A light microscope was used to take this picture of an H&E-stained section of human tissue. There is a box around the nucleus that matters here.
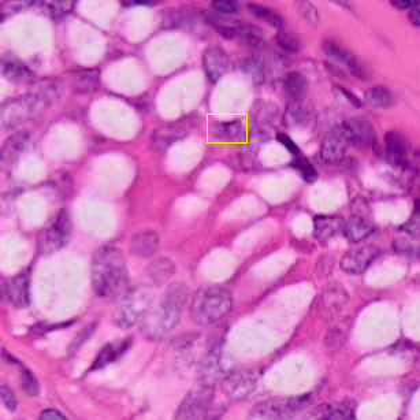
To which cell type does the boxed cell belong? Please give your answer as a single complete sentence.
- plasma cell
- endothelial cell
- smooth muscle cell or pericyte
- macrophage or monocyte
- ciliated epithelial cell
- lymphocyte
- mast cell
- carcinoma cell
It is a ciliated epithelial cell that the boxed cell represents.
